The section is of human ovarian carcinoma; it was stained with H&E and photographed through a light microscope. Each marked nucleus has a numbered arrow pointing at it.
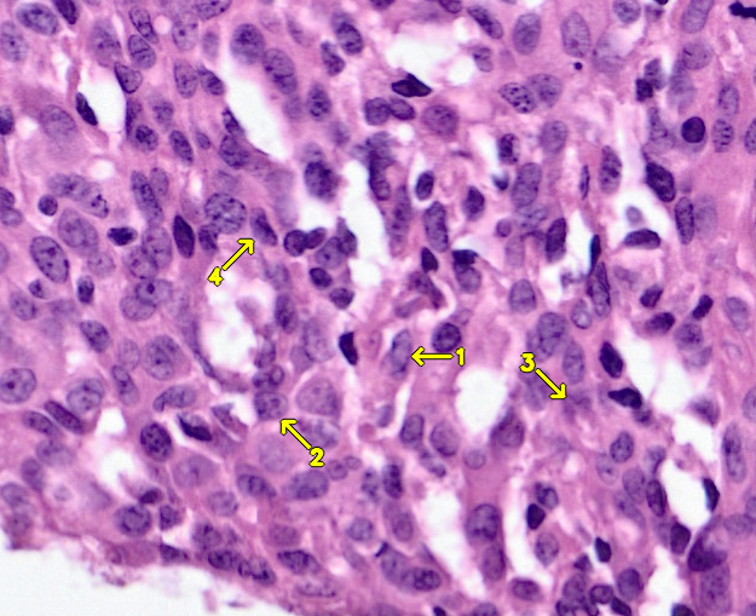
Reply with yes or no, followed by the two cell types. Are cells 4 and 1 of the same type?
No, a carcinoma cell is what cell 4 is, and an endothelial cell is what cell 1 is.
